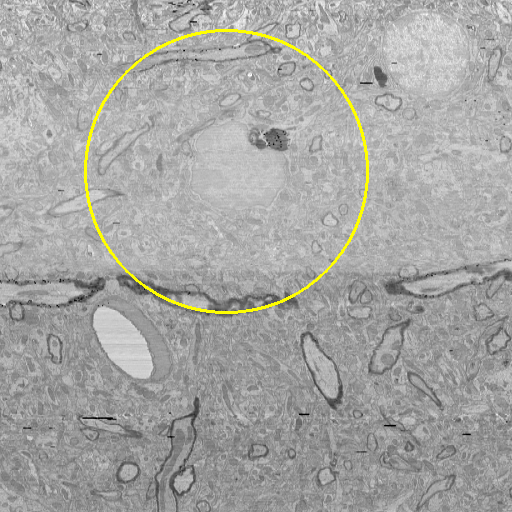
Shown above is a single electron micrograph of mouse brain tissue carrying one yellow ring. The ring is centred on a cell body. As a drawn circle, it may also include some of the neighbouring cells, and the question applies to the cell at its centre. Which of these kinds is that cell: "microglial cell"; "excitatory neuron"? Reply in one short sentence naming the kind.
The cell marked by the ring is a microglial cell.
